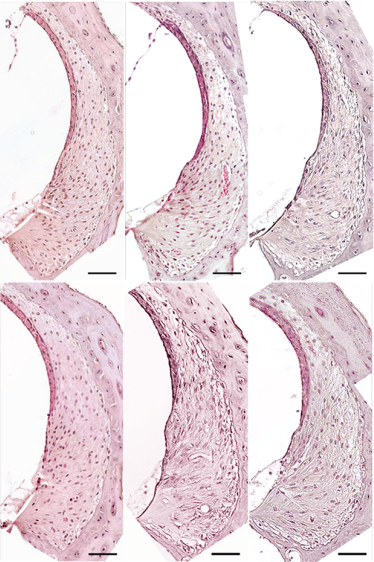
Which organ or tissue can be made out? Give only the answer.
Cochlear lateral wall.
